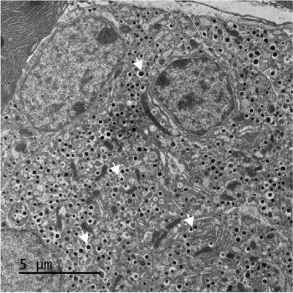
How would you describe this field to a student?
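Here again is a beta cell of the pancreatic islet seen by transmission electron microscopy. Its nucleus lies in the upper part of the picture, round with a clear outline and fine chromatin. The cytoplasm is densely filled with secretory granules, each a dark round core surrounded by a pale halo within the vesicle membrane; the arrowheads pick out examples of them. Between the granules run membranes and mitochondria.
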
